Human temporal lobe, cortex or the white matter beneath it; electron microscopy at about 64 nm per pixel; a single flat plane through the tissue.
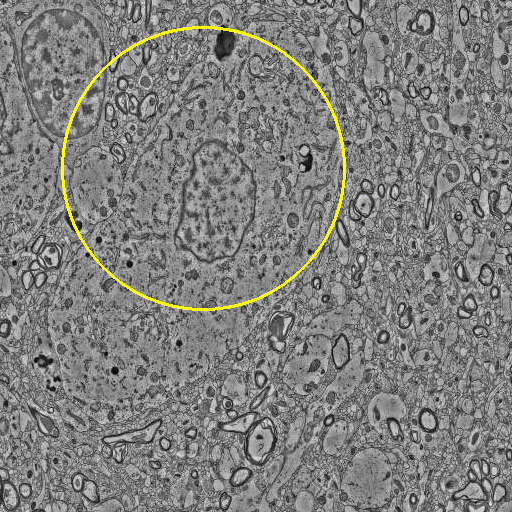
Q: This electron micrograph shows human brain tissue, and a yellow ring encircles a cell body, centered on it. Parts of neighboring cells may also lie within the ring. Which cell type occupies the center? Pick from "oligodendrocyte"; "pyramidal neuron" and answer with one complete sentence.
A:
What sits at the ring's center in this micrograph is an oligodendrocyte, among those choices.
